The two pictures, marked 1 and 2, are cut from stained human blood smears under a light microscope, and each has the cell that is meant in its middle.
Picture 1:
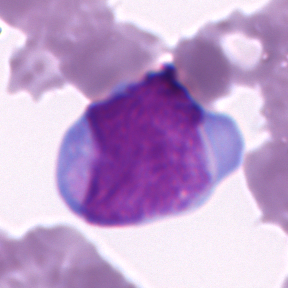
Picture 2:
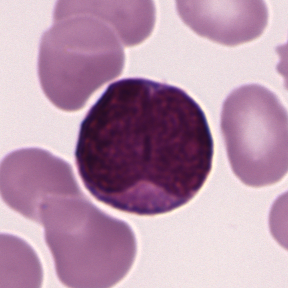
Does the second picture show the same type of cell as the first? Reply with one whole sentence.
Yes; the cells in both pictures are myeloblasts.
